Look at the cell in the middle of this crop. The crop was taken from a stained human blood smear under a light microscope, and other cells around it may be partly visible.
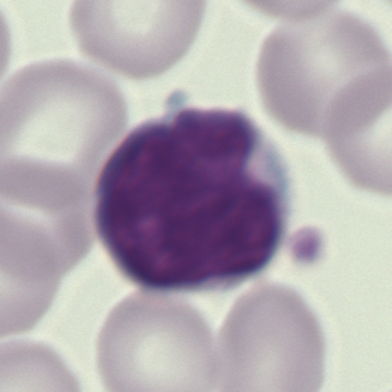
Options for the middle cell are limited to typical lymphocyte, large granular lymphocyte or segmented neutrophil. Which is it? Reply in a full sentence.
What sits at the centre of this crop is a typical lymphocyte.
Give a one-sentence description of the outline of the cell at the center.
Seen at its edge, the cell is not smooth but ragged or projecting.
